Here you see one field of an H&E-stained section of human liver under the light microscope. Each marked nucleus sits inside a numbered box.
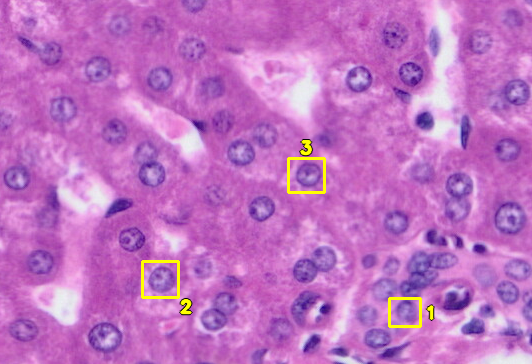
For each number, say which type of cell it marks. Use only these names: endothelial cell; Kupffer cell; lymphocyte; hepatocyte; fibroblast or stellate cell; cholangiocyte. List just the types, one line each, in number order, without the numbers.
cholangiocyte
hepatocyte
hepatocyte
